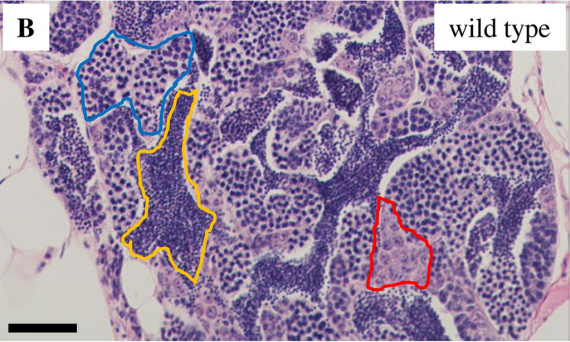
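Testis packed with germ cells in cysts at several stages. A cyst of large cells with pale pink cytoplasm and round nuclei stands apart from cysts of medium round cells with dark purple nuclei. Lumens between cysts are filled with masses of very small, dense, dark heads of mature sperm. Fat cells with empty clear vacuoles border the tissue at the left edge.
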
